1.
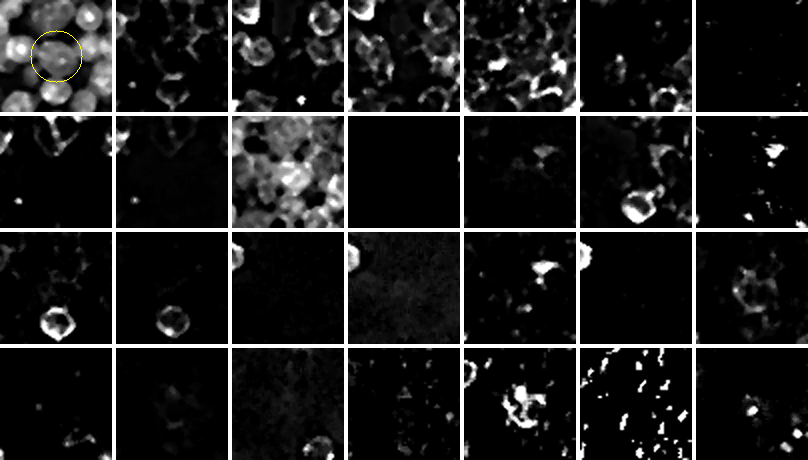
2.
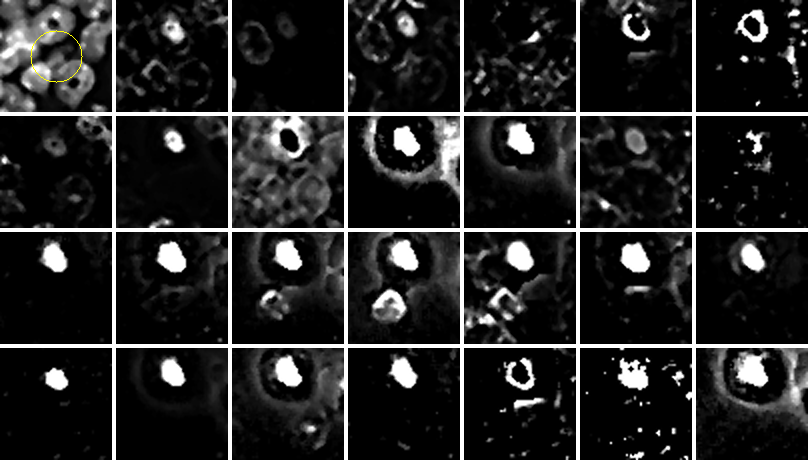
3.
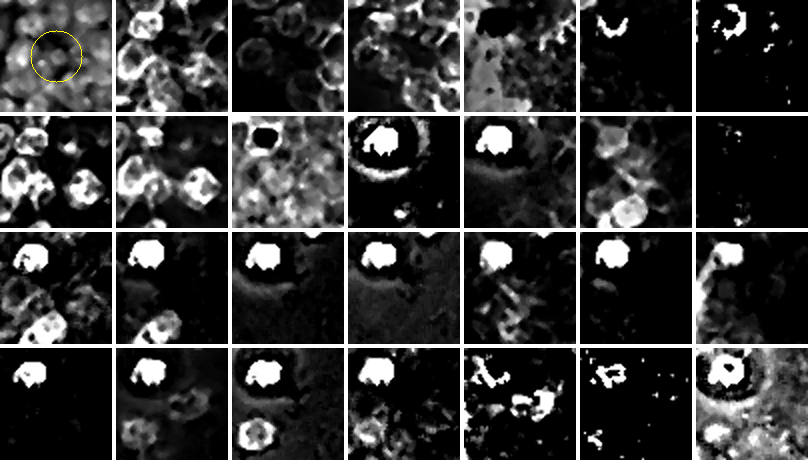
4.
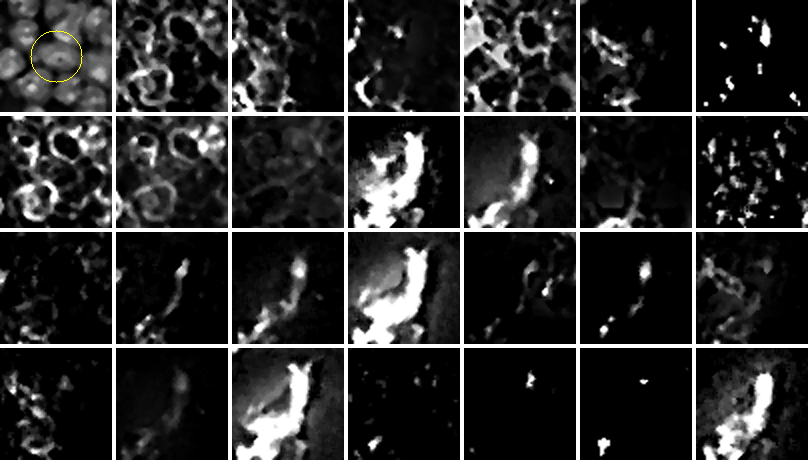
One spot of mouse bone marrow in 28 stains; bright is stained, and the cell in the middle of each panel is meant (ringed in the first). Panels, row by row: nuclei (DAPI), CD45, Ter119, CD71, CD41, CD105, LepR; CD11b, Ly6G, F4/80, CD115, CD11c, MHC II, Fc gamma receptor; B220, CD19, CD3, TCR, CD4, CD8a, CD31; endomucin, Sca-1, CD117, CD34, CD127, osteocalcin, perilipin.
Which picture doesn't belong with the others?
Picture 4.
